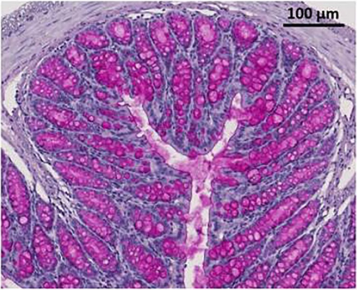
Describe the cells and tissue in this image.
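This section of colonic mucosa shows long, straight crypts packed side by side and converging on a branching central lumen. Each crypt is lined by a single layer of epithelium in which numerous goblet cells stand out as rounded cells filled with bright magenta mucin. The goblet cells are plump and closely set along the length of the crypts, giving the epithelium a bubbly appearance. Between them lie narrower epithelial cells with blue-purple nuclei, and thin strands of lamina propria separate neighbouring crypts. A band of pale pink smooth muscle runs along the top of the field beneath the mucosa.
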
